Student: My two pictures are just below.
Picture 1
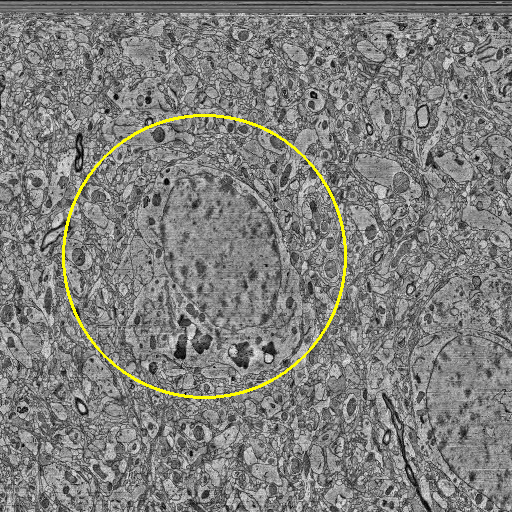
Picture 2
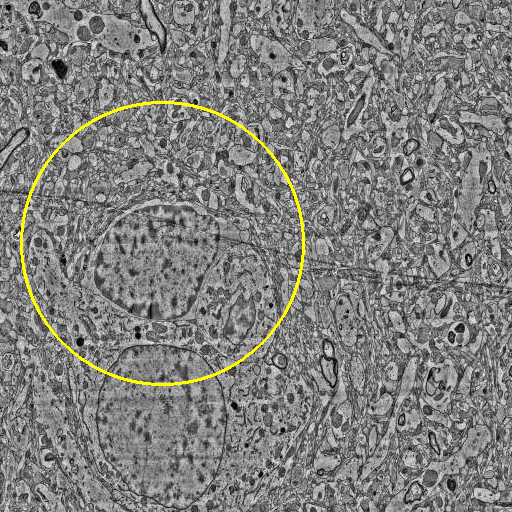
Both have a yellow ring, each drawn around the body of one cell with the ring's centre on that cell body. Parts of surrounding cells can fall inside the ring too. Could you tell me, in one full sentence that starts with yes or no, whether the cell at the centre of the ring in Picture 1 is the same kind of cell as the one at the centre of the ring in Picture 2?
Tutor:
No, the two cells are of two kinds.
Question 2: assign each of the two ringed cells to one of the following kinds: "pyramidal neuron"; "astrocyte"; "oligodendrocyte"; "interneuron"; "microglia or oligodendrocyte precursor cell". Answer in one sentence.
The two cells are an interneuron in the first picture and a microglial cell or oligodendrocyte precursor cell in the second.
